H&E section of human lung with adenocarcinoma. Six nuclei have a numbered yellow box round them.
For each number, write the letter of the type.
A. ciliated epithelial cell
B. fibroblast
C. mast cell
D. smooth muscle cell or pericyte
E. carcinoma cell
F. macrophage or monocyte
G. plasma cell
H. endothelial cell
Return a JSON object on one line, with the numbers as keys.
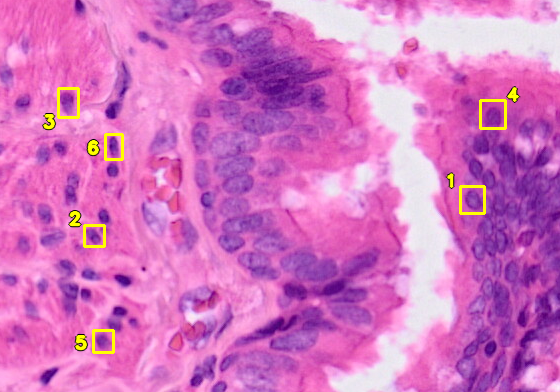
{"1": "A", "2": "D", "3": "D", "4": "A", "5": "D", "6": "D"}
